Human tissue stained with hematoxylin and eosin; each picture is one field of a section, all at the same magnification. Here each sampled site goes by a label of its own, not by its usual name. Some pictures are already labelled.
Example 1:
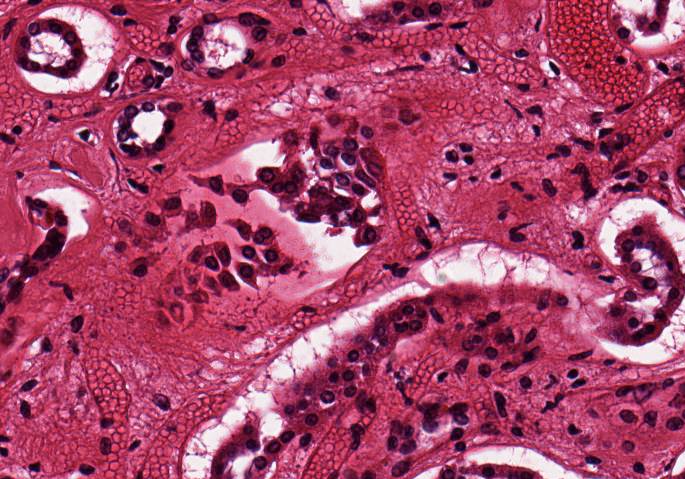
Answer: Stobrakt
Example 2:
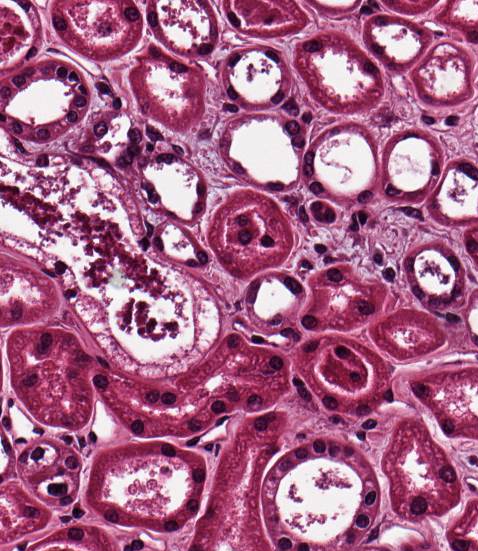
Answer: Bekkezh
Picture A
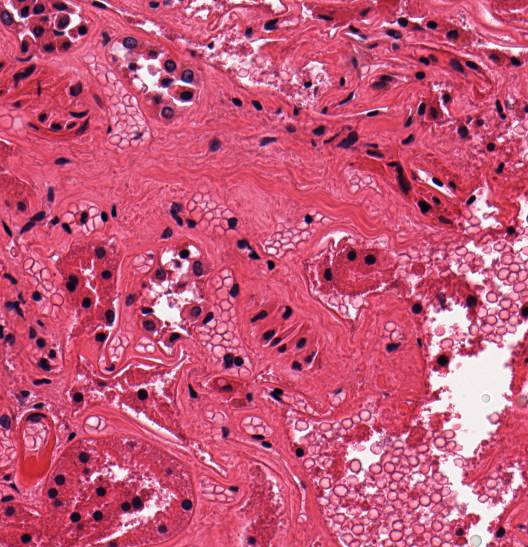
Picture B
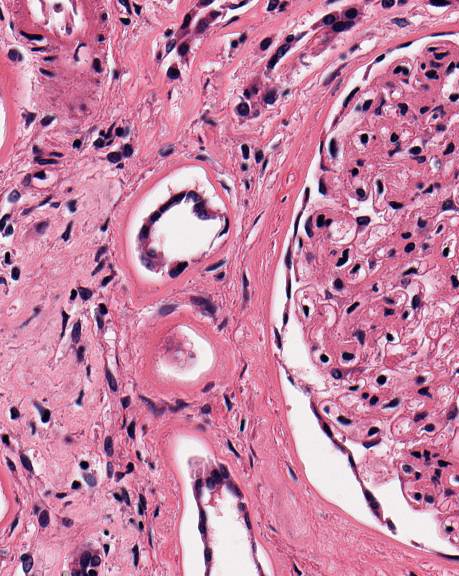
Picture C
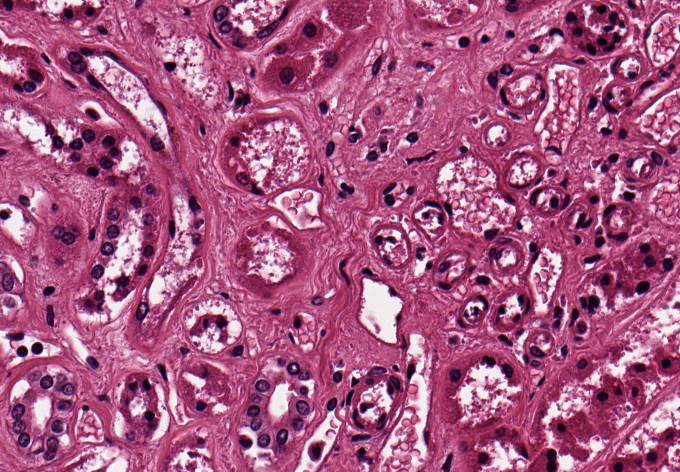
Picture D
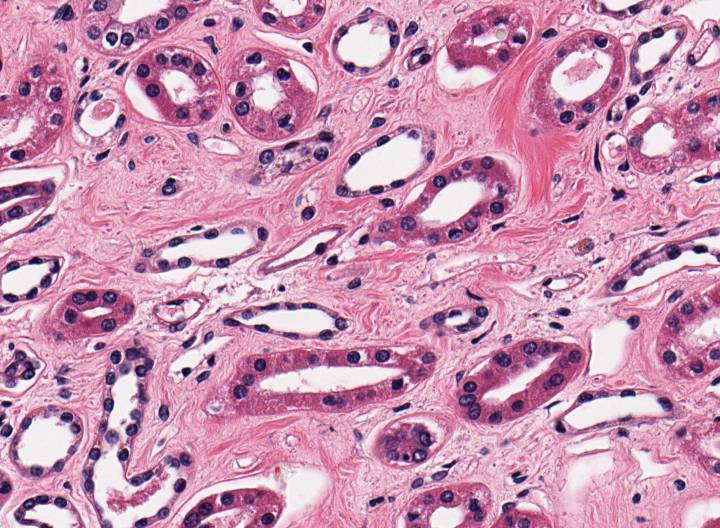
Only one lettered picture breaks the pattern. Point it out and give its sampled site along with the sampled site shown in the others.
Different: A, Bekkezh. Others: Stobrakt.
